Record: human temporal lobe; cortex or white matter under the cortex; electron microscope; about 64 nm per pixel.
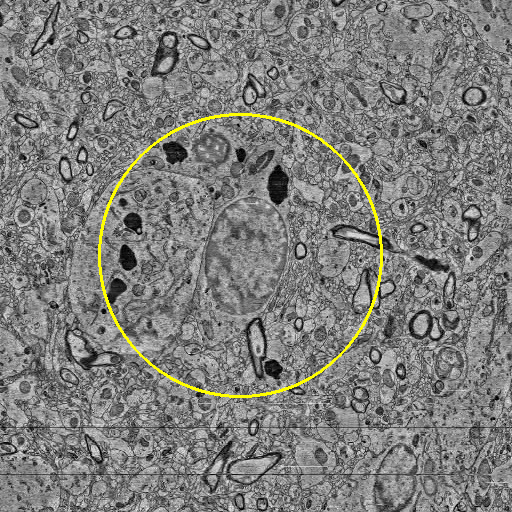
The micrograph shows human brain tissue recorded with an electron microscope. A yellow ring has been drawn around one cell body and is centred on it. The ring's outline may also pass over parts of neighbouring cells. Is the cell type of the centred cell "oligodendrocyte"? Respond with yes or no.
yes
